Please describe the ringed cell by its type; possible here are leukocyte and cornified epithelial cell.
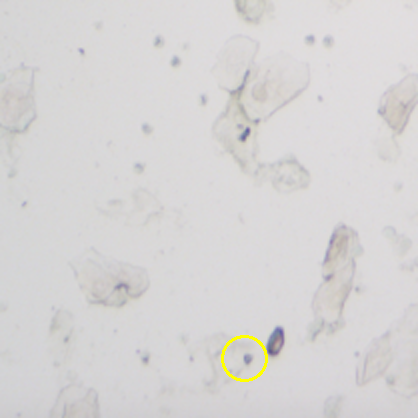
The yellow ring marks a leukocyte.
